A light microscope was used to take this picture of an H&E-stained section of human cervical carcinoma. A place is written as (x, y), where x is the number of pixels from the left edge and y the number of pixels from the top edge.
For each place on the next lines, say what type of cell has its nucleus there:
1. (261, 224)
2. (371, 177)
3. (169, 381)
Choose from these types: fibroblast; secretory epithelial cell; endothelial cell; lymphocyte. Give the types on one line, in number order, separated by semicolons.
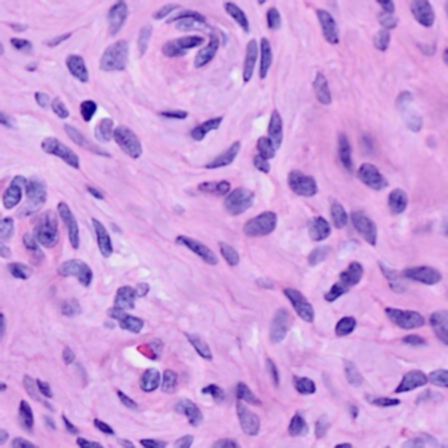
fibroblast; fibroblast; endothelial cell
